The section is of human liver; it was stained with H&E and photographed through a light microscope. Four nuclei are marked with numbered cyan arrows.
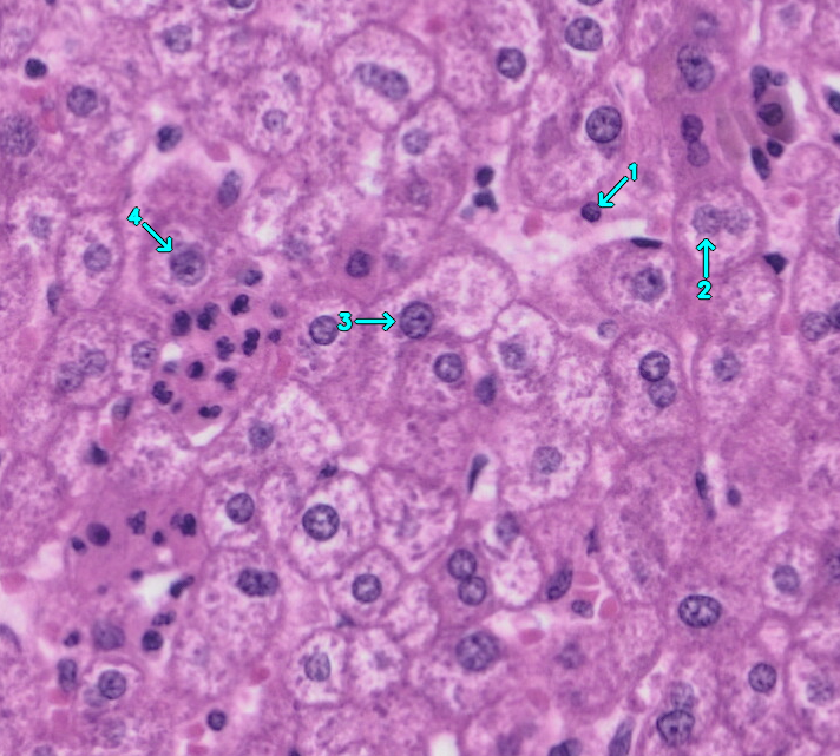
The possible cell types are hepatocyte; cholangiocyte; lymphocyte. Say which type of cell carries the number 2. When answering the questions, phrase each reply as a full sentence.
To a hepatocyte belongs the nucleus marked 2.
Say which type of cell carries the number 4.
The marked cell with the number 4 is recognised as a hepatocyte.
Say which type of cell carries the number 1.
Cell 1, among those numbered, is a lymphocyte.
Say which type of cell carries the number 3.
Denoted by the label 3 in the section is a hepatocyte.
